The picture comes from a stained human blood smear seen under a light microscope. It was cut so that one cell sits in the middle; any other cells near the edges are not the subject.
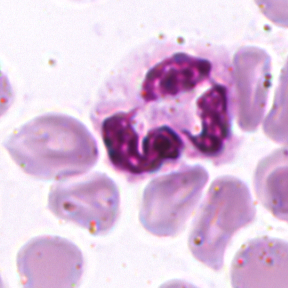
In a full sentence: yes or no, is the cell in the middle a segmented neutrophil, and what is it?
Yes, the cell at the centre of this crop is identified as a segmented neutrophil.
